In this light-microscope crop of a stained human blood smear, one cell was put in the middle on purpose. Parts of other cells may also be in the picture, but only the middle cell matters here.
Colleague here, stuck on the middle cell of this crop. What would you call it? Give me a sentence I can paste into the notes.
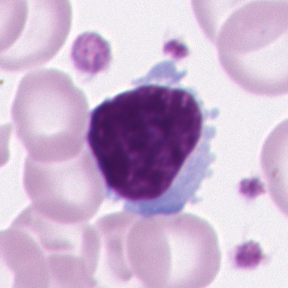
Regarding the central cell, it is a typical lymphocyte.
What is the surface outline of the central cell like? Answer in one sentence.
Irregular and not smooth, the cell boundary is ragged or drawn out into projections.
